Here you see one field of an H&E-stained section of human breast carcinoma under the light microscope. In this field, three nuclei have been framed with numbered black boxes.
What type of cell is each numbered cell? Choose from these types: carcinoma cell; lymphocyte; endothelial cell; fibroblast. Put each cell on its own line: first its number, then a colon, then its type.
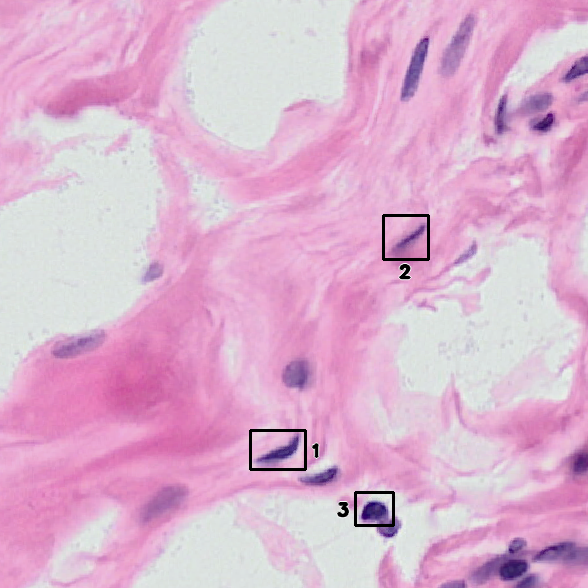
1: fibroblast
2: fibroblast
3: lymphocyte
